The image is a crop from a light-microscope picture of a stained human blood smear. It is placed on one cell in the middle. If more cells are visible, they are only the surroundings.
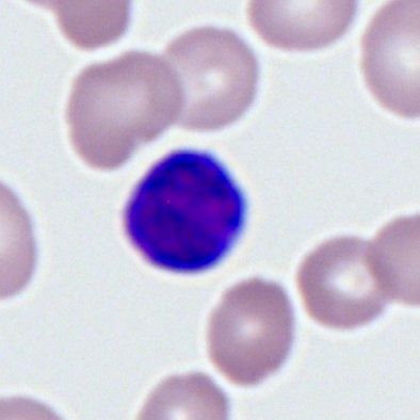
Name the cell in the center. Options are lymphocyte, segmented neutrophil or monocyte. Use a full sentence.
The cell centered in this field of view is a lymphocyte.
